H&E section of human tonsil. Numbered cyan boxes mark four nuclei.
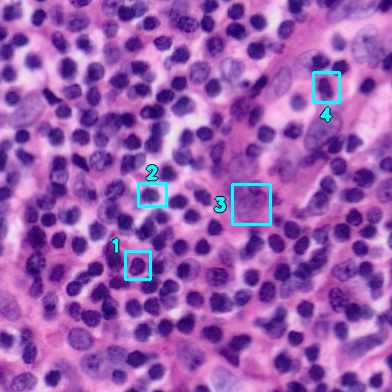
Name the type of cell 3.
endothelial cell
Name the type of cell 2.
small lymphocyte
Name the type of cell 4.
endothelial cell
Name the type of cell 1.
small lymphocyte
